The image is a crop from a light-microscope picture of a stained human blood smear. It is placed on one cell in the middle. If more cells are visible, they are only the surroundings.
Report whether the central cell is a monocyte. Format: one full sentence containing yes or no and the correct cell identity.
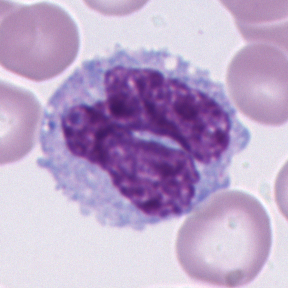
Yes, the middle cell here is a monocyte.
